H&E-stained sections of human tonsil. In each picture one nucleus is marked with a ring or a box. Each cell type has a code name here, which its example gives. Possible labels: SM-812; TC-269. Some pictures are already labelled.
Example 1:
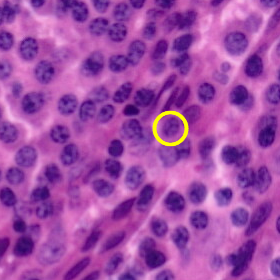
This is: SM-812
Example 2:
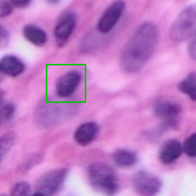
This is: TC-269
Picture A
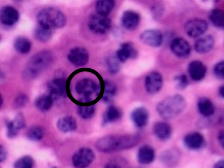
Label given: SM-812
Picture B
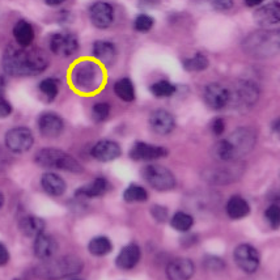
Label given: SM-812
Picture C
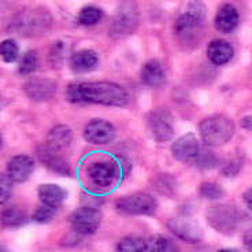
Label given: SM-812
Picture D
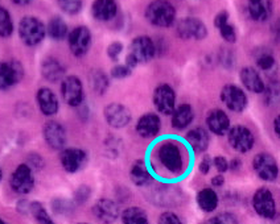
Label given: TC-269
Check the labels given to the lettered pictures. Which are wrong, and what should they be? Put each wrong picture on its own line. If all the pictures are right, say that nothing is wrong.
D should be SM-812, not TC-269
